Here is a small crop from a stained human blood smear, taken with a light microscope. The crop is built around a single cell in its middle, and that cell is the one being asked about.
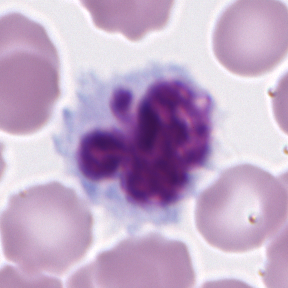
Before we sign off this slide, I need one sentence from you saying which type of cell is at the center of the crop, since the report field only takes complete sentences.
The cell in the exact centre of the crop is a hairy cell.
